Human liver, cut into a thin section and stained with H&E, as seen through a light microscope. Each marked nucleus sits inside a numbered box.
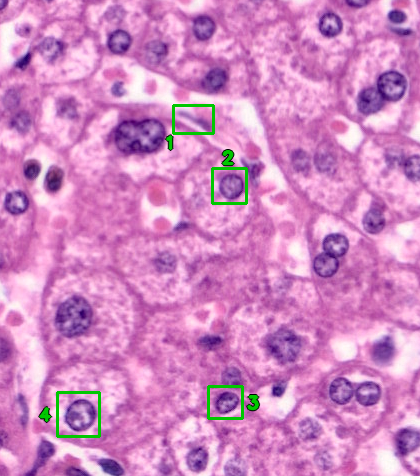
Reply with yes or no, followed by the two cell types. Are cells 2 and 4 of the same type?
Yes, both are hepatocytes.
